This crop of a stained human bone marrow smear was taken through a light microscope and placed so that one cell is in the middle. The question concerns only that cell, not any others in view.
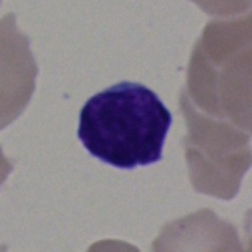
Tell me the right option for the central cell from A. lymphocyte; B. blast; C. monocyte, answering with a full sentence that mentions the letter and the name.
Option A, which names the central cell as a lymphocyte, is correct.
